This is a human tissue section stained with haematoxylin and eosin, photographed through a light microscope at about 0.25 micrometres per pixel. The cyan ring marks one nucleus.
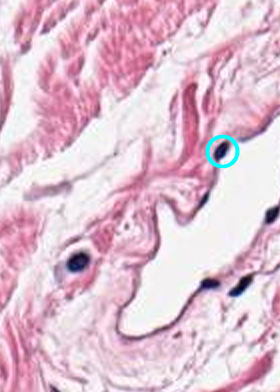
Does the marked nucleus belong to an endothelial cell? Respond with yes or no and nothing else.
yes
